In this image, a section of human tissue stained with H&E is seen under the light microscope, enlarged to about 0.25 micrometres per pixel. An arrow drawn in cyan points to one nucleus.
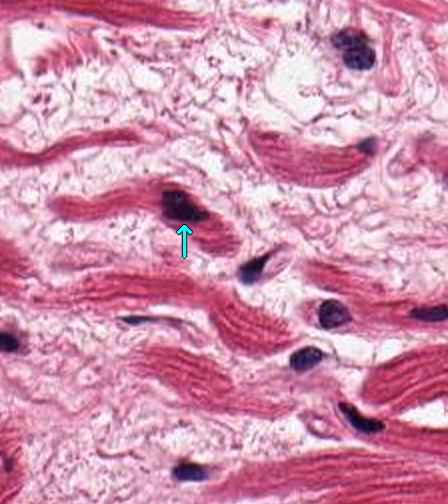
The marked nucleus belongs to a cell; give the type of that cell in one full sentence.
In this picture it is a cardiomyocyte whose nucleus is marked.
